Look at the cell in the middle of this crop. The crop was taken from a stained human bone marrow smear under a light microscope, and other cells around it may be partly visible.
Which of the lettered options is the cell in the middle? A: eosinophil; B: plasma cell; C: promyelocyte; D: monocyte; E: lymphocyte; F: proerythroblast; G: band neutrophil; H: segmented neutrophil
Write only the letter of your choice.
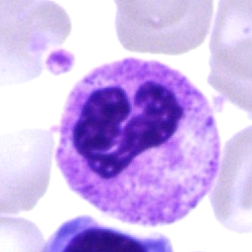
H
